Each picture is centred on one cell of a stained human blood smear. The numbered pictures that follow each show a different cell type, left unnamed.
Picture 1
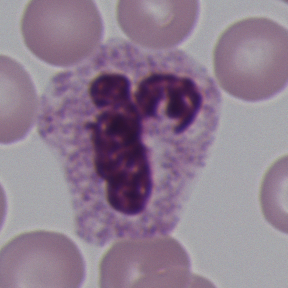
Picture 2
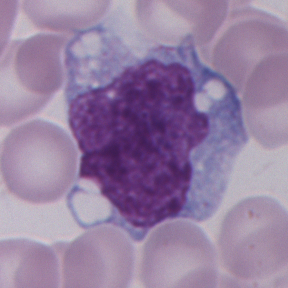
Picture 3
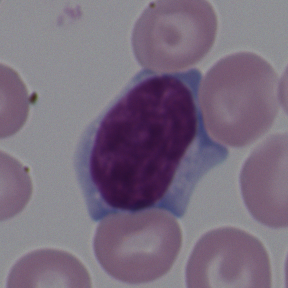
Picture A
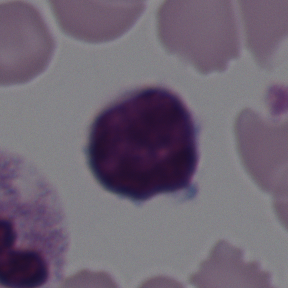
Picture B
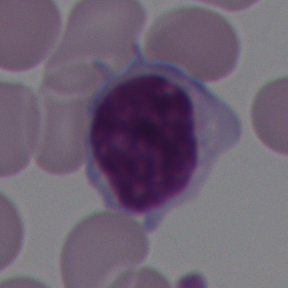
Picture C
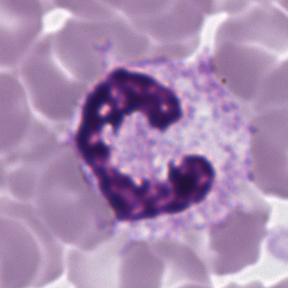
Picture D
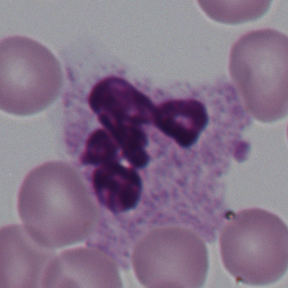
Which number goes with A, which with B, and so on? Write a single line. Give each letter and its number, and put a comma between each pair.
A 3, B 3, C 1, D 1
